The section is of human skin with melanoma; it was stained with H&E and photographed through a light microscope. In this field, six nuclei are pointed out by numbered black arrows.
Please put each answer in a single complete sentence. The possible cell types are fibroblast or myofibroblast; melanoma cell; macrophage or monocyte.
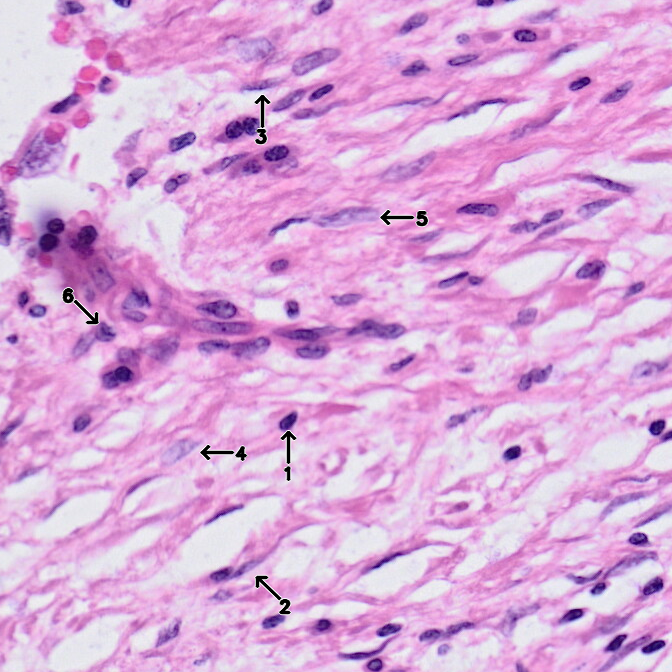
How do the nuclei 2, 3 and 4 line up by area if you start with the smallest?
The order from the smallest nucleus to the largest is 2, 3, 4.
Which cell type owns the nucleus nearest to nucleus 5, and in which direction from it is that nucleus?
Just to the left of nucleus 5 lies the nearest nucleus, which belongs to a fibroblast or myofibroblast.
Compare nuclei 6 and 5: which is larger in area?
Nucleus 5 is the larger one, covering about 2.5 times the area of nucleus 6.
